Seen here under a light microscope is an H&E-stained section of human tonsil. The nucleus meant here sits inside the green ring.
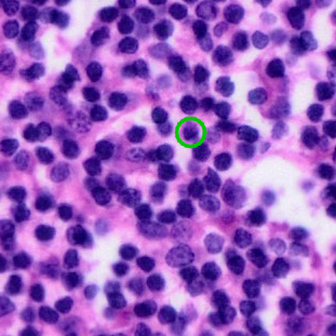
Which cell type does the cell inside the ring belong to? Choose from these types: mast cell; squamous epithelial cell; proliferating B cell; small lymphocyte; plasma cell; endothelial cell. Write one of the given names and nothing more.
small lymphocyte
